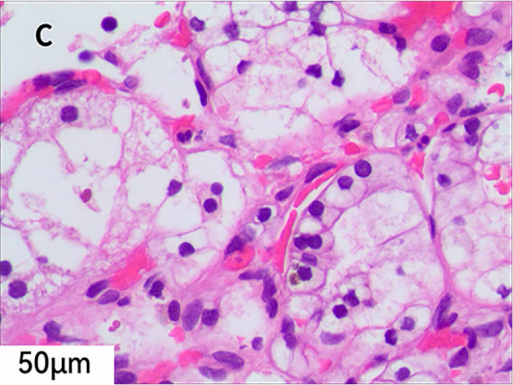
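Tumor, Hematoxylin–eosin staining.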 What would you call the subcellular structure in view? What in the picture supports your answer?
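Abundant clear cytoplasm. Cells have large, empty-looking pale cytoplasm. Thin pink cell membranes outline each cell. Small dark nuclei sit within the clear cells.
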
